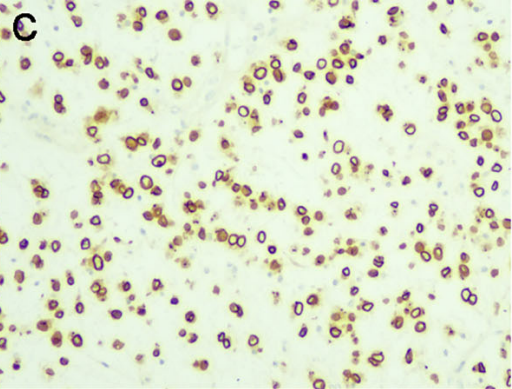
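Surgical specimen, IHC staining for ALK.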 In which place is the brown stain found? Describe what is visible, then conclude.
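Around the nuclei of tumor cells. The brown stain forms rings around rounded cell nuclei. The centres of the nuclei are left pale or blue.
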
